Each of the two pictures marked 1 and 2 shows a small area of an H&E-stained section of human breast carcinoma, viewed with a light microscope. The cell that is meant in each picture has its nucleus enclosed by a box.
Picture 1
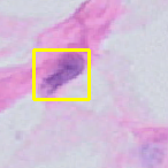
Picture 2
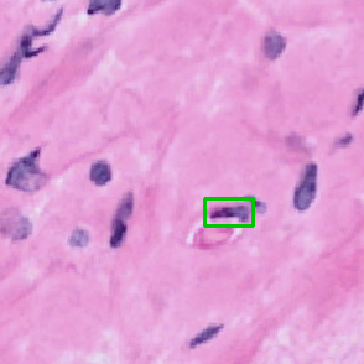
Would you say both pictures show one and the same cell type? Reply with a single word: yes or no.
no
